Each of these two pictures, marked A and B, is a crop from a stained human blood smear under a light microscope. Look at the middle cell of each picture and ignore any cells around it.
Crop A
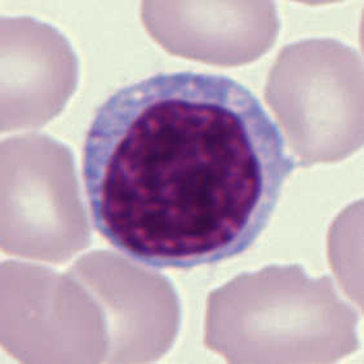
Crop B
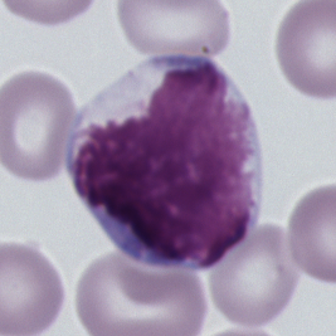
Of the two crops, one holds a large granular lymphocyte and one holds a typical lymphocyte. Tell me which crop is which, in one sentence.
The middle of crop A is occupied by a typical lymphocyte, and the middle of crop B by a large granular lymphocyte.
